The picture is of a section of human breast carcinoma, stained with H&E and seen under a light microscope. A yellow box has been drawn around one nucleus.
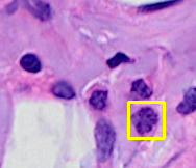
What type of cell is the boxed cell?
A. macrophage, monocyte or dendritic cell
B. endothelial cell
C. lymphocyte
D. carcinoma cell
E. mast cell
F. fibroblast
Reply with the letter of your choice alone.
A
